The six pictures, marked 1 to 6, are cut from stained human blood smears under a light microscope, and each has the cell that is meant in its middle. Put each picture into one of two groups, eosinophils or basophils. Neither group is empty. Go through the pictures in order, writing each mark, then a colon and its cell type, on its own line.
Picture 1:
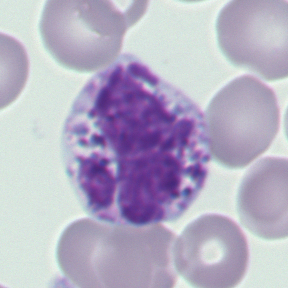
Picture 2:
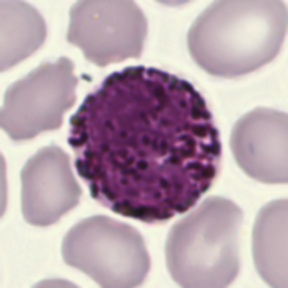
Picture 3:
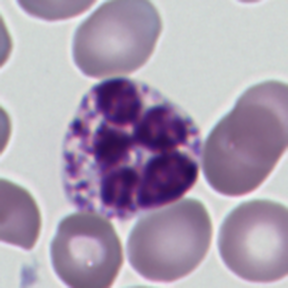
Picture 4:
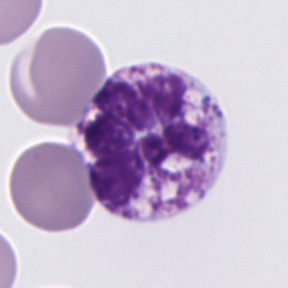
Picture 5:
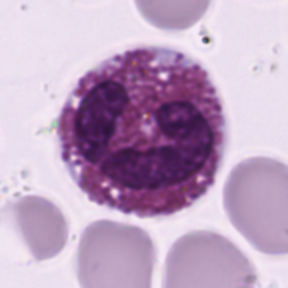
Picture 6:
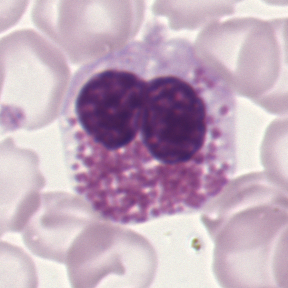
1: basophil
2: basophil
3: basophil
4: basophil
5: eosinophil
6: eosinophil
